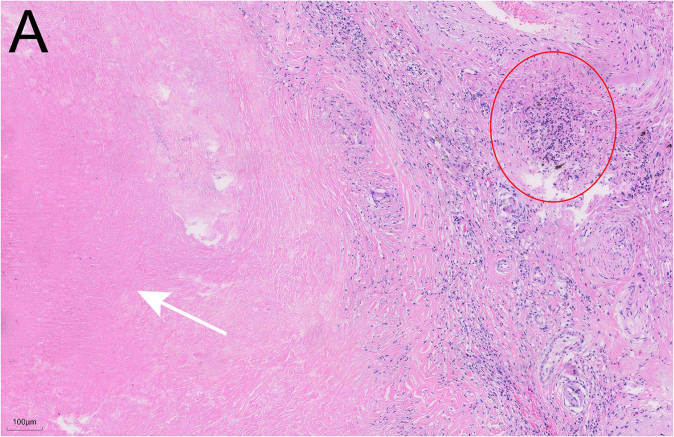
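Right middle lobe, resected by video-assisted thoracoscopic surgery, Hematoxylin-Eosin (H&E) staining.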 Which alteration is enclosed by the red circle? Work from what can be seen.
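The circle encloses a dense cluster of small dark blue nuclei.
Inflammatory cell infiltration.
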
